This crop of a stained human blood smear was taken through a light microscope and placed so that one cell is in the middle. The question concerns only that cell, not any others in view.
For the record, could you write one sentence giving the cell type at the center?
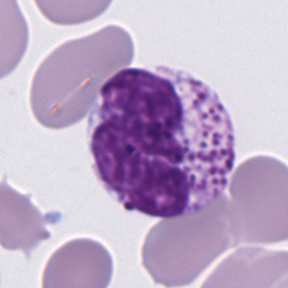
In the crop, the cell of interest at the centre is a basophil.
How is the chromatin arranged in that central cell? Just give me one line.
The chromatin in this nucleus is coarsely clumped.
